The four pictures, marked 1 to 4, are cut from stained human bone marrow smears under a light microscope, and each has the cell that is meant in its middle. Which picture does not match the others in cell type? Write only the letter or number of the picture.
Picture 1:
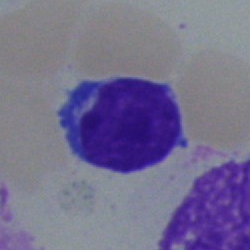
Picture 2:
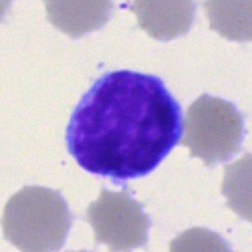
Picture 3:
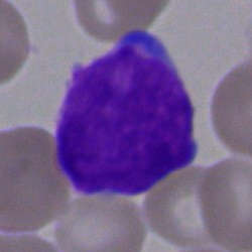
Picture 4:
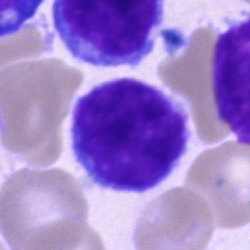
3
